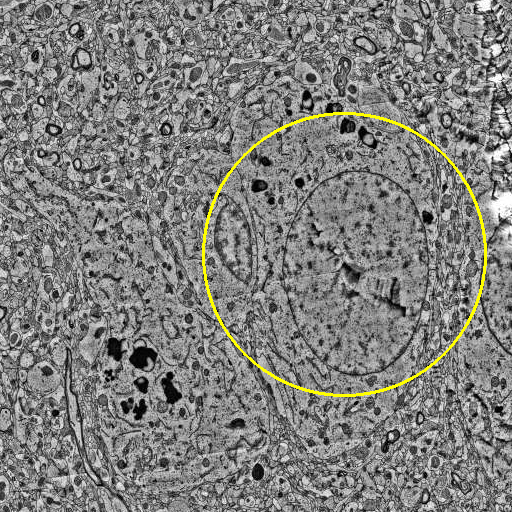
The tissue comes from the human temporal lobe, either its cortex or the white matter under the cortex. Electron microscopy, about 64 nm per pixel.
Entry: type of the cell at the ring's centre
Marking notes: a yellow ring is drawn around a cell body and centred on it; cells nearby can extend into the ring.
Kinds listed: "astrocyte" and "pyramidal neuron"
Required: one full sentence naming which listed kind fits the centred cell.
My entry names a pyramidal neuron as the cell whose body the yellow ring centres on.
